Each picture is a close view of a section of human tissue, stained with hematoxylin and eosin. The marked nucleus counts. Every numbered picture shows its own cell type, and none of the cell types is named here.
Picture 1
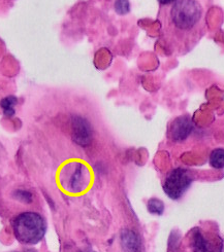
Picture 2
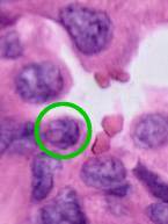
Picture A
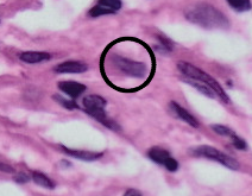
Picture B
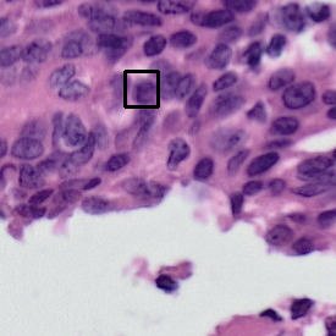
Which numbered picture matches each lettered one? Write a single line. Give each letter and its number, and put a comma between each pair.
A 1, B 2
